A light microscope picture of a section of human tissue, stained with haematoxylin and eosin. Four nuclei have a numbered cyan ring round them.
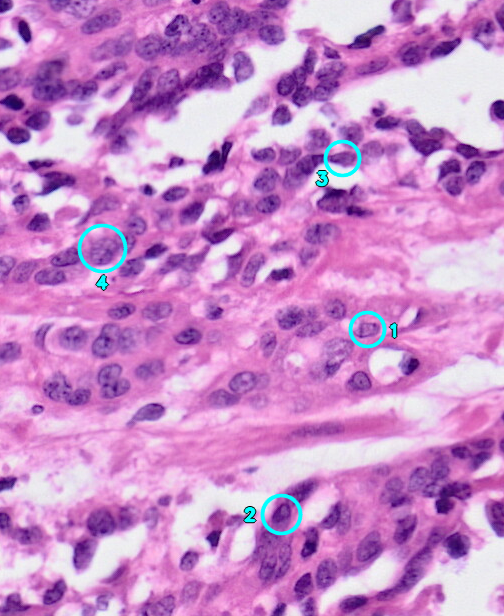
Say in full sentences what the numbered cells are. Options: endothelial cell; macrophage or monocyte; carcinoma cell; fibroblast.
Cell 1 is a macrophage or monocyte, cell 2 is a carcinoma cell, cell 3 is a carcinoma cell and cell 4 is a carcinoma cell.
